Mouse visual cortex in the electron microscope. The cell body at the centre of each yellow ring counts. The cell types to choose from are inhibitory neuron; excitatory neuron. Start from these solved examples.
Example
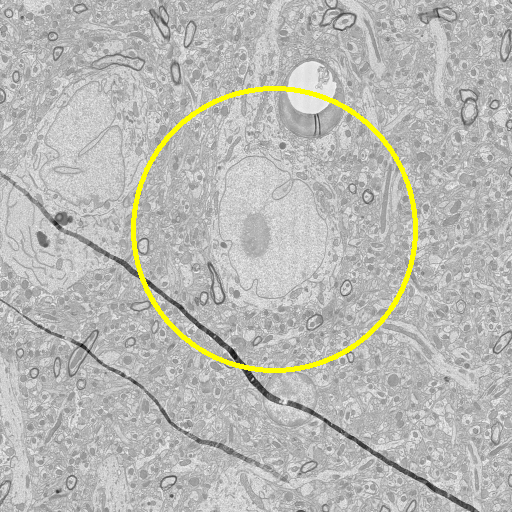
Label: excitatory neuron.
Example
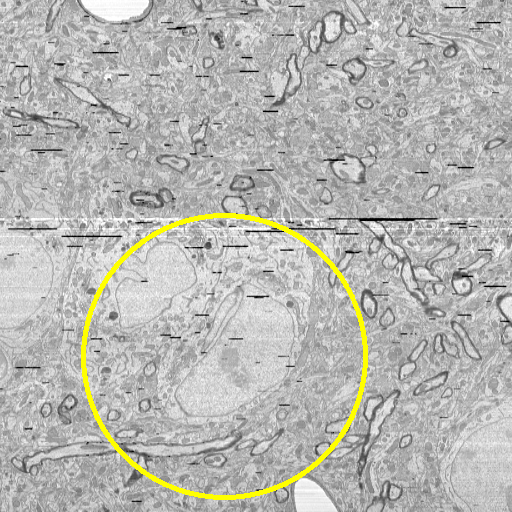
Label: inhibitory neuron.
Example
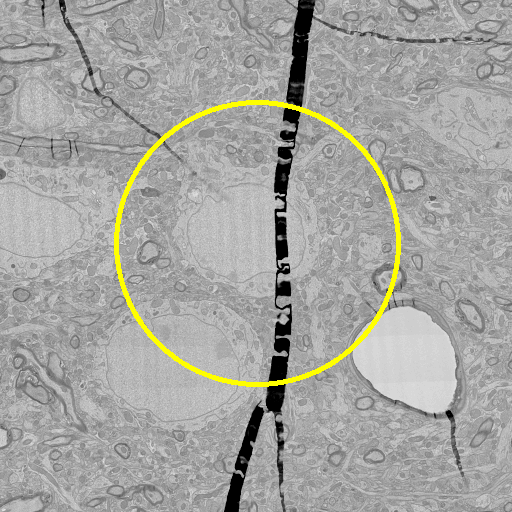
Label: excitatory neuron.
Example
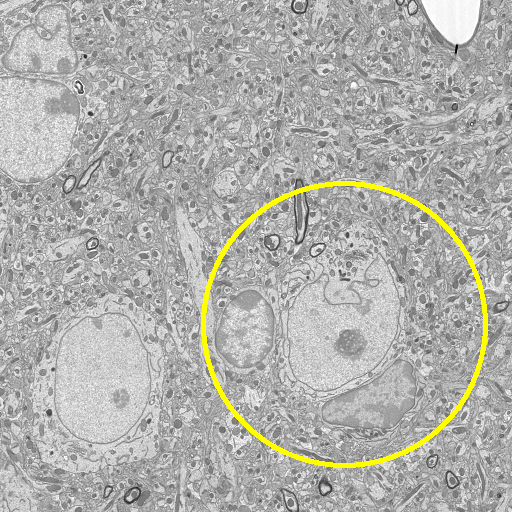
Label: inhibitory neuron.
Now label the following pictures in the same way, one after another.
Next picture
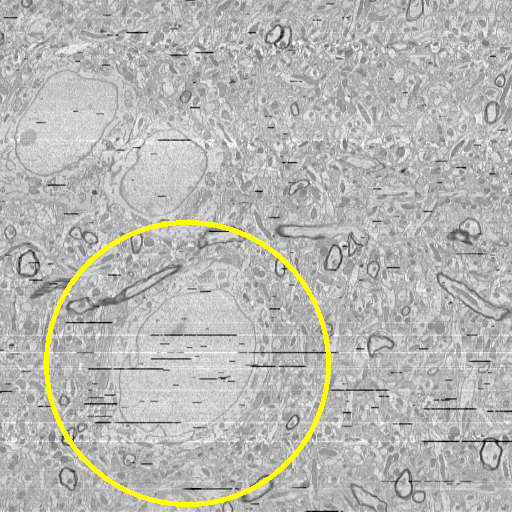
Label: excitatory neuron.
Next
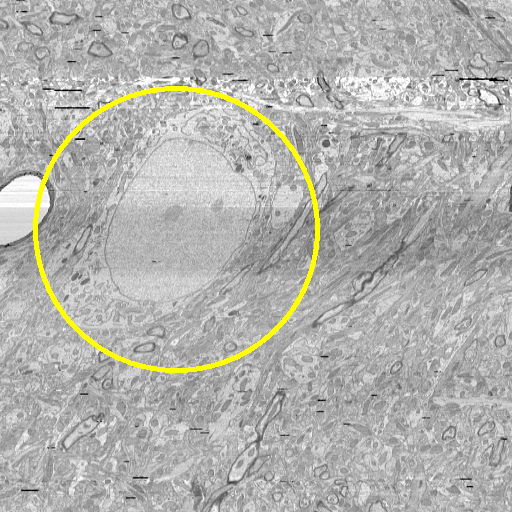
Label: inhibitory neuron.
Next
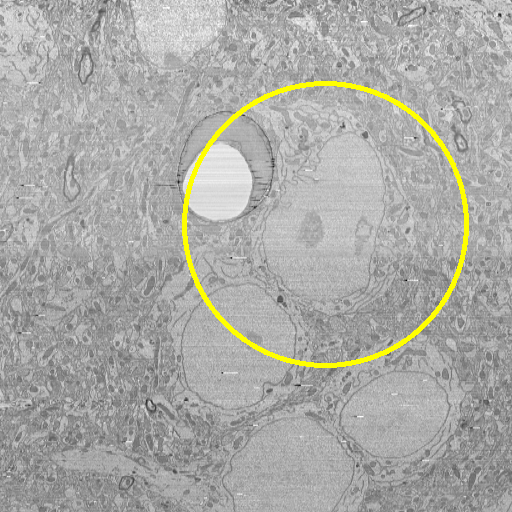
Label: inhibitory neuron.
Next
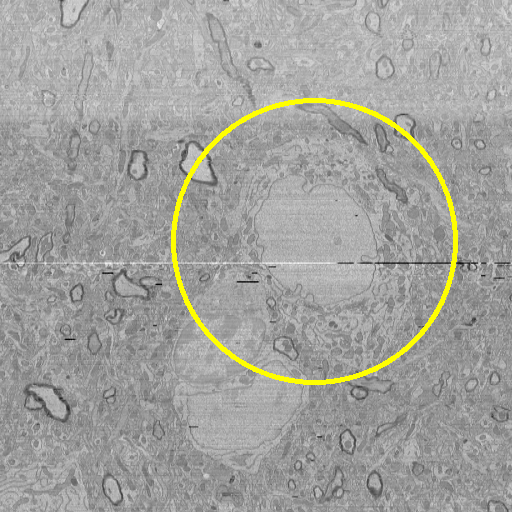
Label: inhibitory neuron.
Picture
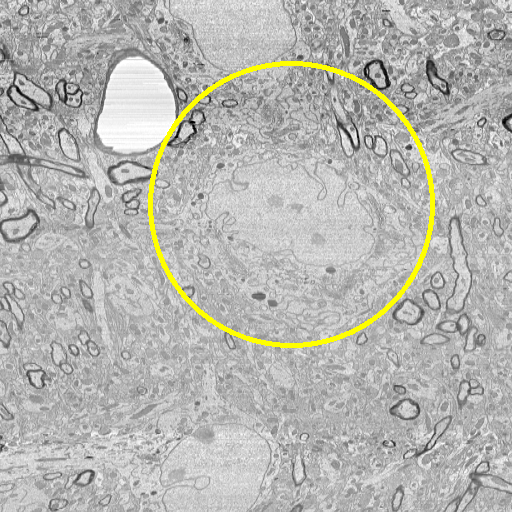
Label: inhibitory neuron.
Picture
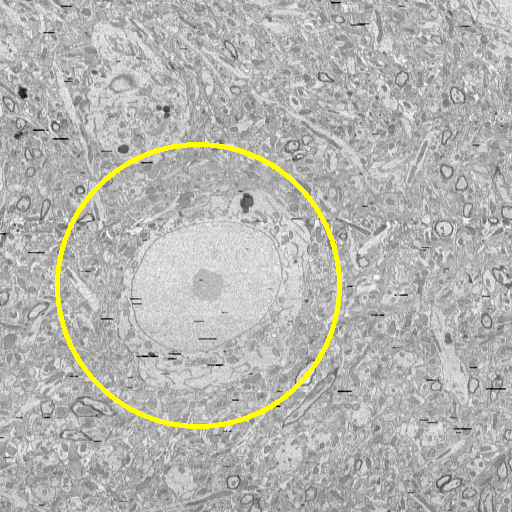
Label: excitatory neuron.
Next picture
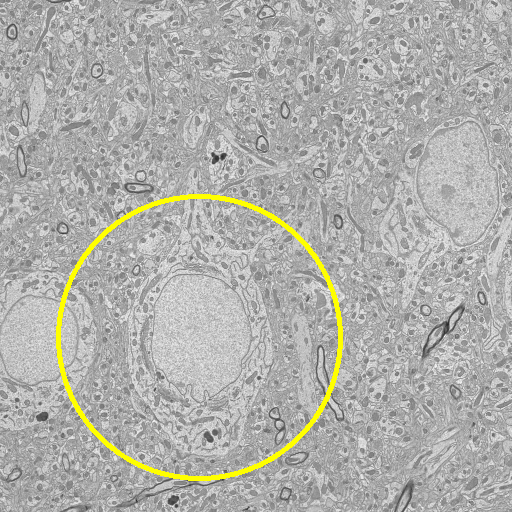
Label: inhibitory neuron.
